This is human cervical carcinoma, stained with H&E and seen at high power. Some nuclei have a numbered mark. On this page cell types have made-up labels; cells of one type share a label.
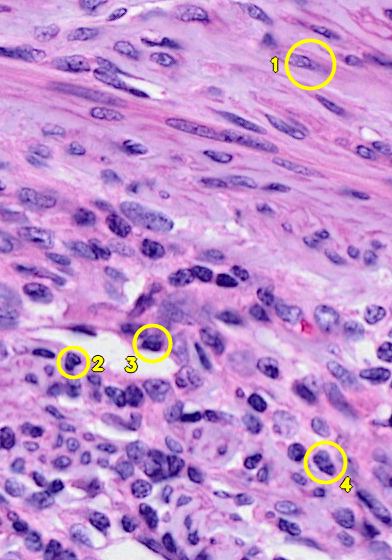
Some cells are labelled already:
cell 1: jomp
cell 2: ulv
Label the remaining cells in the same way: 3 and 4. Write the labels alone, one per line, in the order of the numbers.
ulv
ulv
